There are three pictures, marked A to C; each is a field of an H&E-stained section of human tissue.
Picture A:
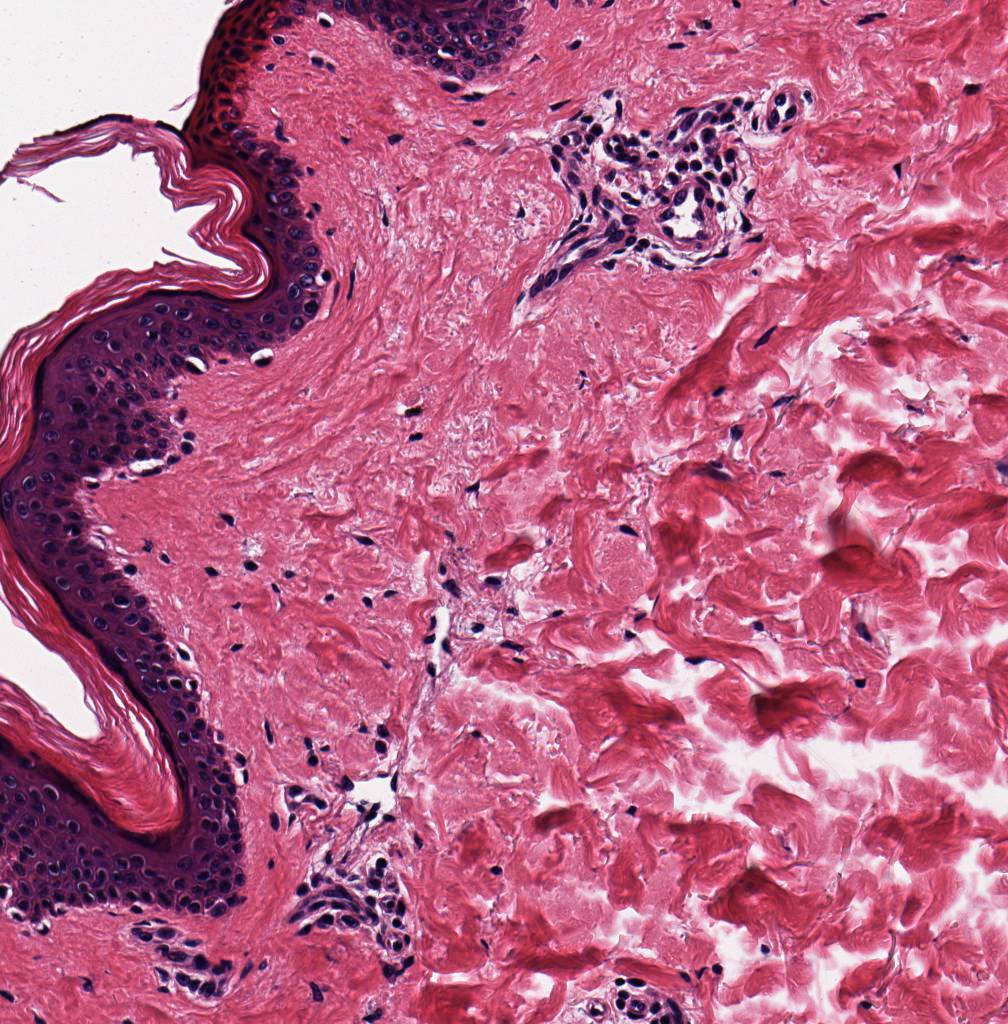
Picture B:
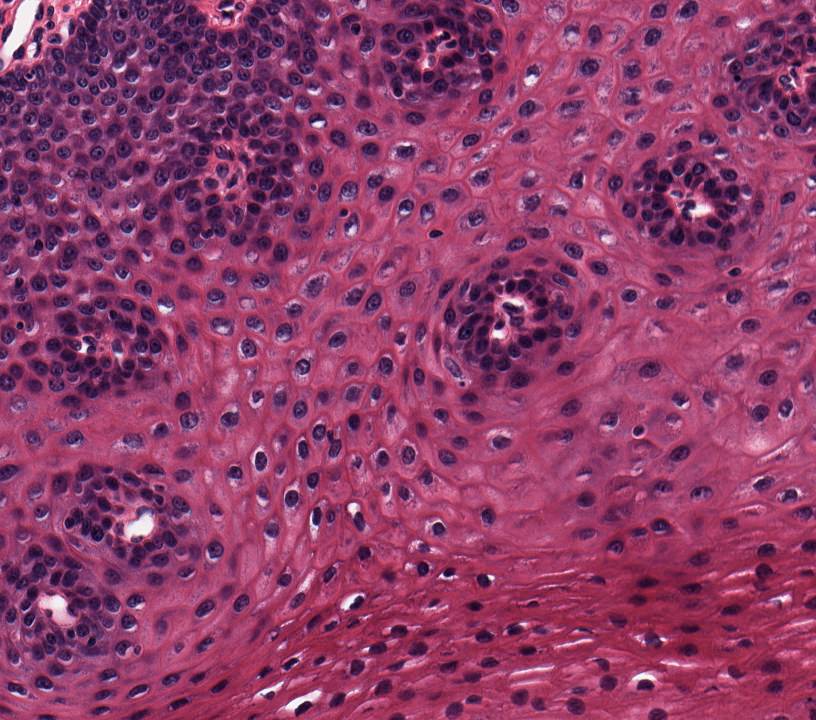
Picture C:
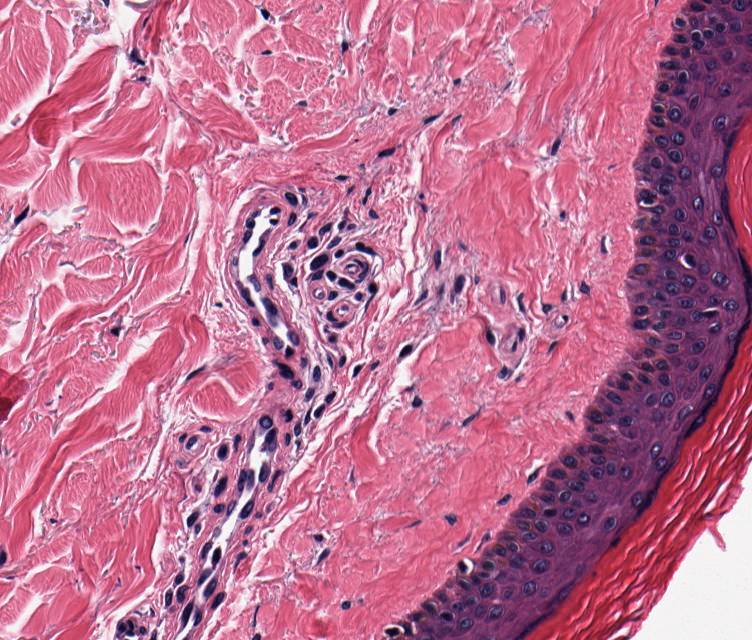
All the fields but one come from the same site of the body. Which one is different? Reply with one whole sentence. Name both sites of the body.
The others come from the skin of the lower leg, but picture B comes from the mucosa of the esophagus.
